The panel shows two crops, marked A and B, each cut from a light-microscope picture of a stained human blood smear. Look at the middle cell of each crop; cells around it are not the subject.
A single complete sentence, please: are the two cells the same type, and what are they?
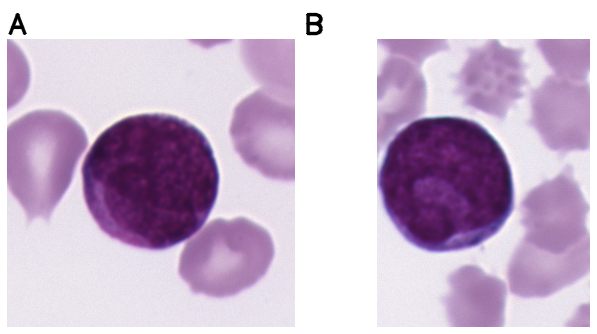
Yes, blasts are the cells in the middle of both crops.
